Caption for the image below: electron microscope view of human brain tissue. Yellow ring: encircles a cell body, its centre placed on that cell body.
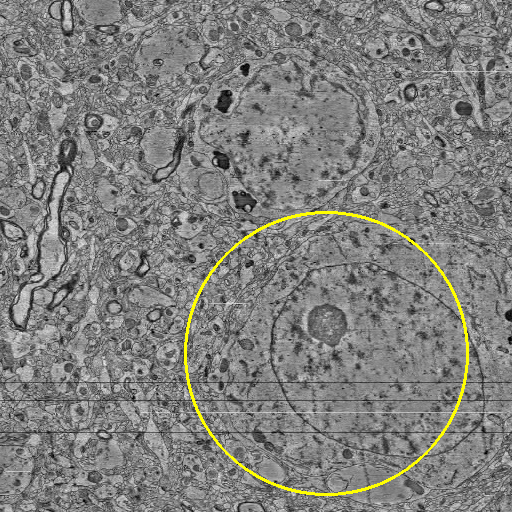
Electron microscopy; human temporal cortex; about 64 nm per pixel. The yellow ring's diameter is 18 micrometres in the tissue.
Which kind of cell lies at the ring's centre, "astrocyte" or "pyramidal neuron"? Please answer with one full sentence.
The picture shows a pyramidal neuron at the centre of the yellow ring.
